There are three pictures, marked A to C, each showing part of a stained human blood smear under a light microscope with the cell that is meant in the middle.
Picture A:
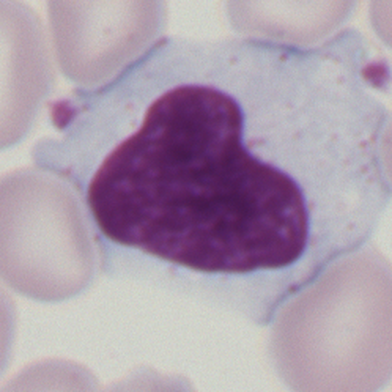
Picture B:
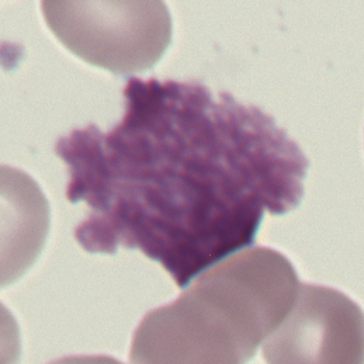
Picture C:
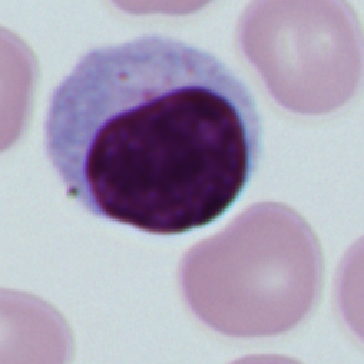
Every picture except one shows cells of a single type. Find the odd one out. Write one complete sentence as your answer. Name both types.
The others show large granular lymphocytes, but picture B shows a smudge cell.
